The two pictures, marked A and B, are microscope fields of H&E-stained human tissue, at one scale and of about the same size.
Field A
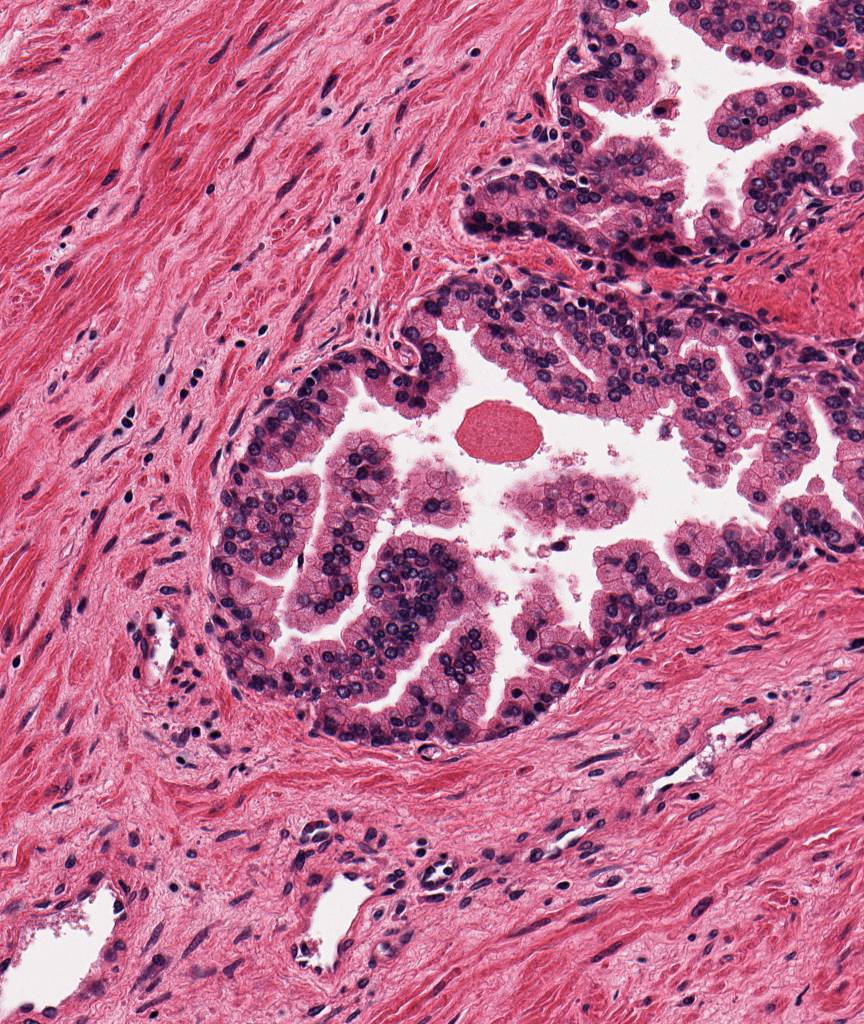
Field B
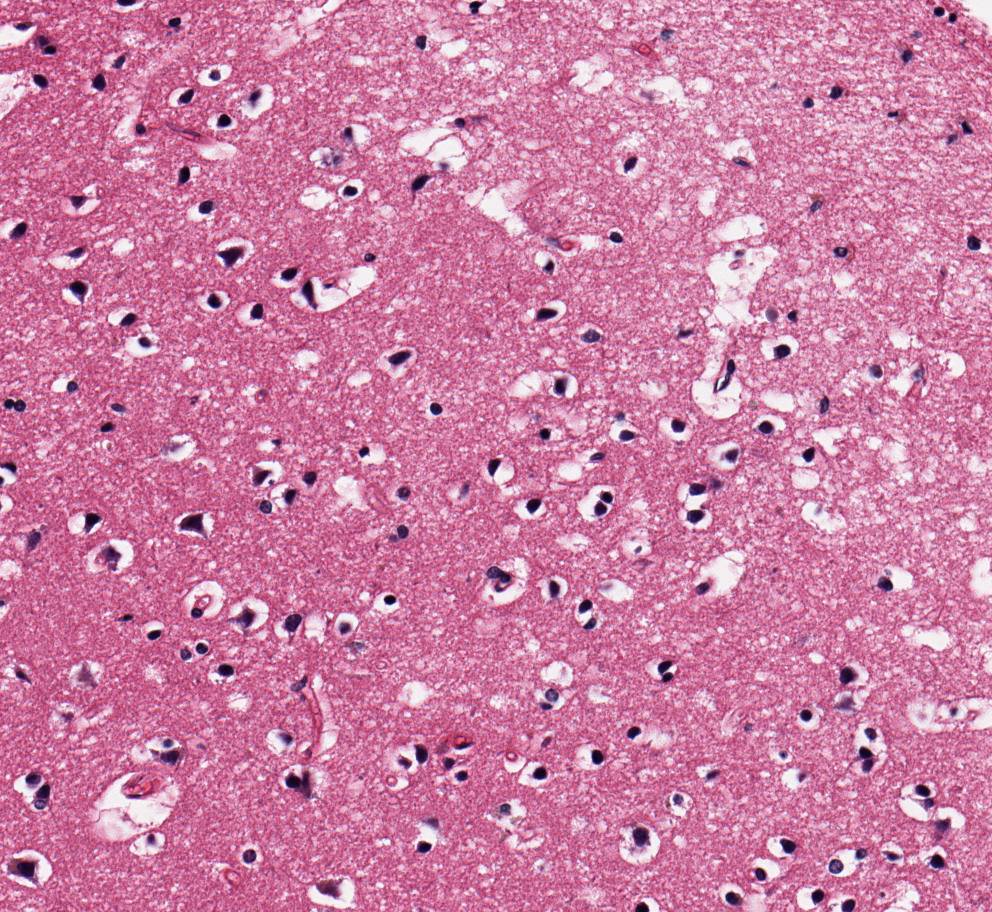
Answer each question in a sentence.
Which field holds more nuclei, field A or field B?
There are more nuclei in field A.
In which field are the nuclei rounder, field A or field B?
It is field B whose nuclei are the rounder.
